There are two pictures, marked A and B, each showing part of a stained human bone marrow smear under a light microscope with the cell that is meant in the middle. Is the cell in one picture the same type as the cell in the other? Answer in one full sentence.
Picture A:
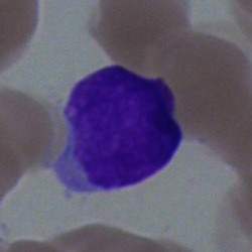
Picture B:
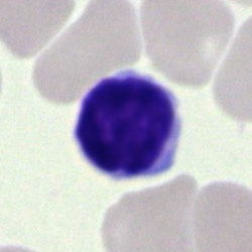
No. Picture A shows a blast, but picture B shows a lymphocyte.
